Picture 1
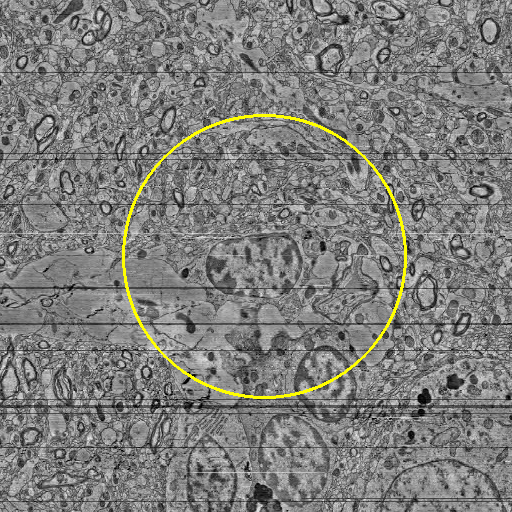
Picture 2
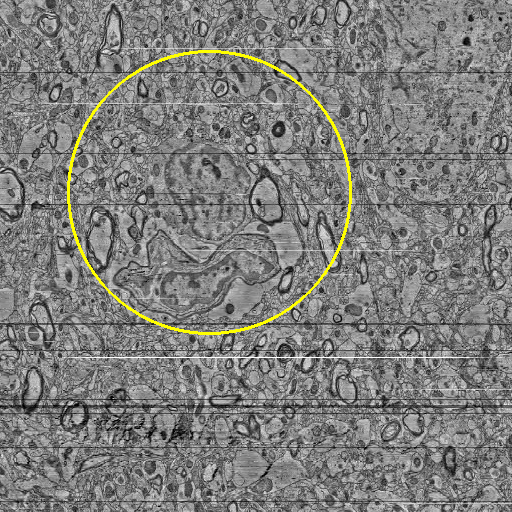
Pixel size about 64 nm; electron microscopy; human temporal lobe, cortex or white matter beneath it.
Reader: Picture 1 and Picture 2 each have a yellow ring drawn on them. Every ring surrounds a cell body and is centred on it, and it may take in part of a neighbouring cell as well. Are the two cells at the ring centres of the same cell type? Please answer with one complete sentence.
No, the cells are of two cell types.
